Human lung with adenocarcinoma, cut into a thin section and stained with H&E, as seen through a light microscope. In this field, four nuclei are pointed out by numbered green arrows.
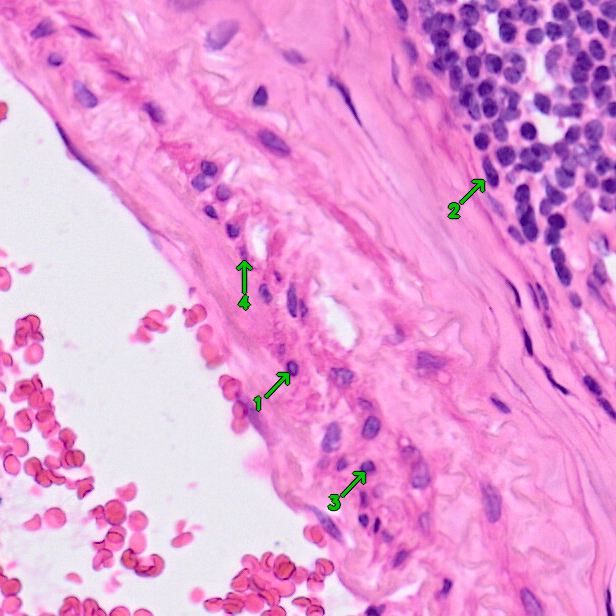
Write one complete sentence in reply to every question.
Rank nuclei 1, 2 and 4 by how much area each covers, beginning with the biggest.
Largest first, the order by area is 2, 1, 4.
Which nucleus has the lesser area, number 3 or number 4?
Nucleus 4 covers less area, with nucleus 3 about 2 times as large.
